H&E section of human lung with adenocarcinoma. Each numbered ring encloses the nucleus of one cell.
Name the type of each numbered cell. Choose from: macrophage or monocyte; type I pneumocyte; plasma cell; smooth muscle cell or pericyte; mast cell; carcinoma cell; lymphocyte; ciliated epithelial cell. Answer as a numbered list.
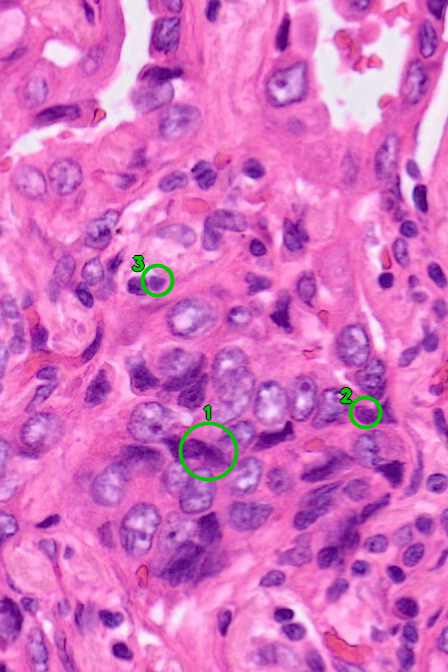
1. carcinoma cell
2. carcinoma cell
3. lymphocyte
